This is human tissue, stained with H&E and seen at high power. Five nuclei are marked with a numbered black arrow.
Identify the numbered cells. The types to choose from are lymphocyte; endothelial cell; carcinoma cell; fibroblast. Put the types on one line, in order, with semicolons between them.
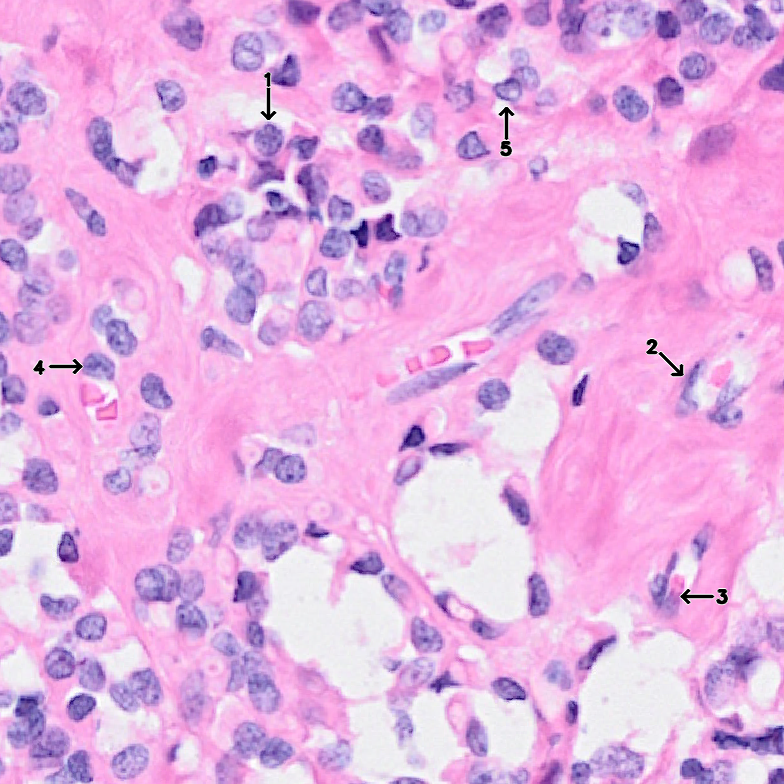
carcinoma cell; endothelial cell; endothelial cell; endothelial cell; carcinoma cell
